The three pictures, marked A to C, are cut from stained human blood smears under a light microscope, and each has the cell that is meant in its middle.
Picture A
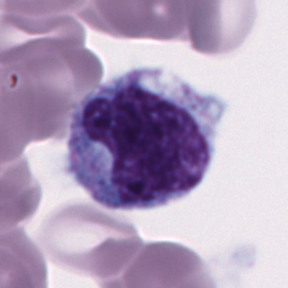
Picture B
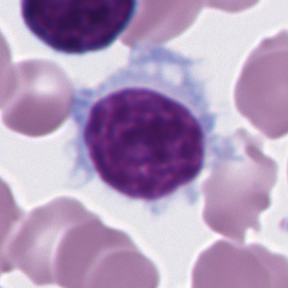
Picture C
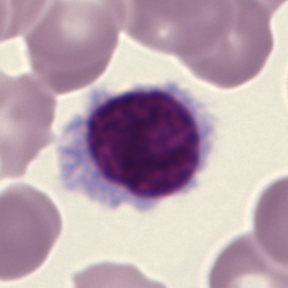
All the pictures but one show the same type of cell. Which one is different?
A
